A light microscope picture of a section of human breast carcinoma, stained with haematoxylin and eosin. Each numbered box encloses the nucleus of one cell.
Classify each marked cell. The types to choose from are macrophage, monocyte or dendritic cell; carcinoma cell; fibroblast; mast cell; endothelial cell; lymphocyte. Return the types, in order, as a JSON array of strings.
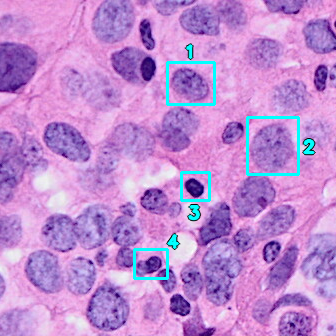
["carcinoma cell", "carcinoma cell", "lymphocyte", "lymphocyte"]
